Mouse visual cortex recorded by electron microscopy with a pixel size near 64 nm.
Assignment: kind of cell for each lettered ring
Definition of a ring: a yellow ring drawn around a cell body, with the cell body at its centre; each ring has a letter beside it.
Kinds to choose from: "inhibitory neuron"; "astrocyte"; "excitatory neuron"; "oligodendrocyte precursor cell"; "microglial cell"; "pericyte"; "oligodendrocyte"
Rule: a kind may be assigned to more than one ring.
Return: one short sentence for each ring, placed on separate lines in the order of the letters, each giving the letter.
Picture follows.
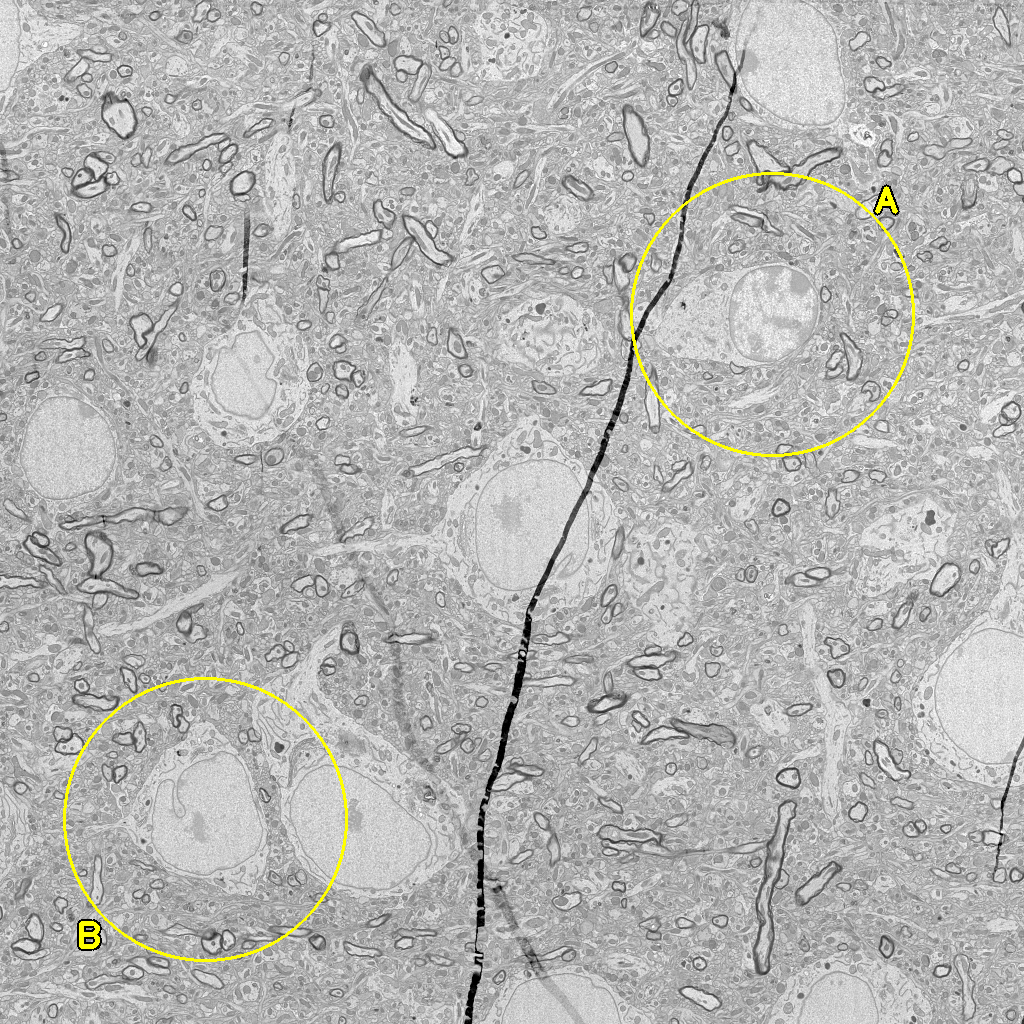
The ring marked A is centred on an oligodendrocyte.
The ring marked B is centred on an excitatory neuron.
